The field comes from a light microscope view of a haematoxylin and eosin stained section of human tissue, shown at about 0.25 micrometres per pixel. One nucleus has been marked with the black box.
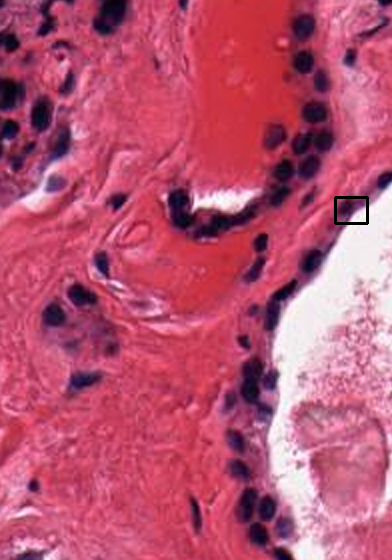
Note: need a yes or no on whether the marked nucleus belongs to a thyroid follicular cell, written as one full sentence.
Yes, the marked nucleus is one that belongs to a thyroid follicular cell.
